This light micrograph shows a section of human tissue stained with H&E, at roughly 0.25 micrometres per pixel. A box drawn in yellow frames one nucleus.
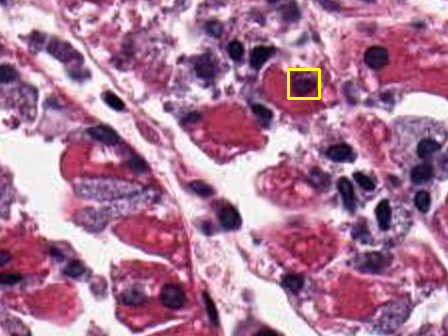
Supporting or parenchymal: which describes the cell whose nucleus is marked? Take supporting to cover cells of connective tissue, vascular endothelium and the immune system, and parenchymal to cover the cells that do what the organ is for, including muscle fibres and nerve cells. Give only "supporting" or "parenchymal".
parenchymal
